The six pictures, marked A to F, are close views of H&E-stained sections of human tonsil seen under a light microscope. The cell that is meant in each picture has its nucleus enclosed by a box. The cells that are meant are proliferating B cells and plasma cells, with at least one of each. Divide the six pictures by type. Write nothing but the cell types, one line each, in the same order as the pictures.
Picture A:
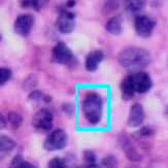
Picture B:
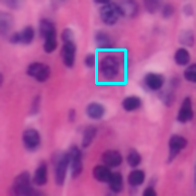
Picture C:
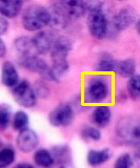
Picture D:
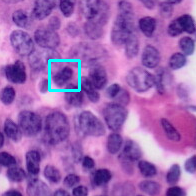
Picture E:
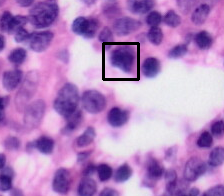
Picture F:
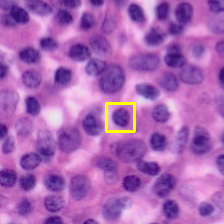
proliferating B cell
plasma cell
proliferating B cell
proliferating B cell
proliferating B cell
plasma cell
